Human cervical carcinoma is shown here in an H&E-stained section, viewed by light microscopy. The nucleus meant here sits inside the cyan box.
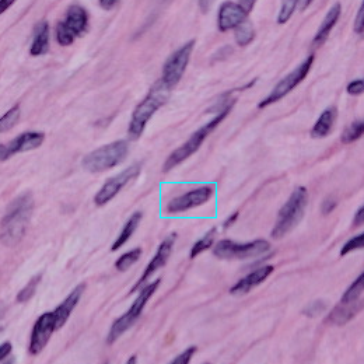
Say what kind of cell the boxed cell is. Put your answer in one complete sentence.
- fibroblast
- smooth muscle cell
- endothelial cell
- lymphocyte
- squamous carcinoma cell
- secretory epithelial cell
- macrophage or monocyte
On this particular slide, the boxed cell is a fibroblast.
